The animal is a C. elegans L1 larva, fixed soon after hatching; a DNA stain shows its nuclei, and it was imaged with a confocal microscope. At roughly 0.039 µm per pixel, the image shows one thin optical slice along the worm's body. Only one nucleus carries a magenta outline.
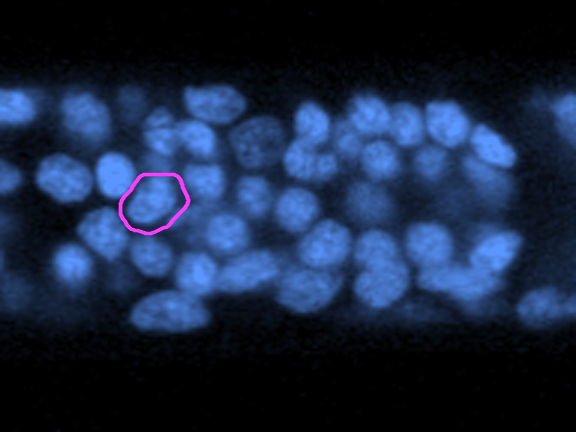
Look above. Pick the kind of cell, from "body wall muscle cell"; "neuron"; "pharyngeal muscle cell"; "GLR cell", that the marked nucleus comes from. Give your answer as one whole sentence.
The marked nucleus belongs to a pharyngeal muscle cell.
